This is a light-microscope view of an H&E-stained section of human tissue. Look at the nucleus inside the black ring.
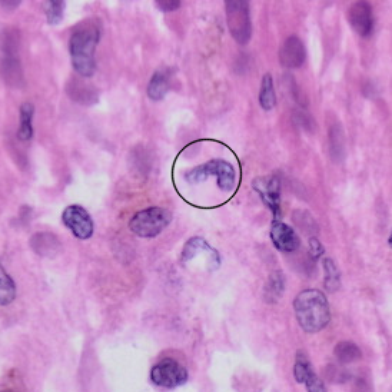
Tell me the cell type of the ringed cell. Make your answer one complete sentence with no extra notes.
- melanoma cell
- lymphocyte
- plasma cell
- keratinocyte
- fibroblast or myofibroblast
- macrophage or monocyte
For the purposes of cell typing, the ringed cell is categorized as a macrophage or monocyte.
